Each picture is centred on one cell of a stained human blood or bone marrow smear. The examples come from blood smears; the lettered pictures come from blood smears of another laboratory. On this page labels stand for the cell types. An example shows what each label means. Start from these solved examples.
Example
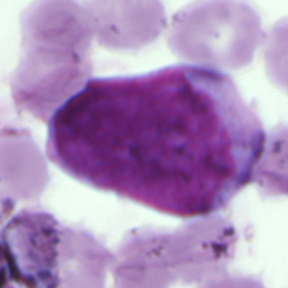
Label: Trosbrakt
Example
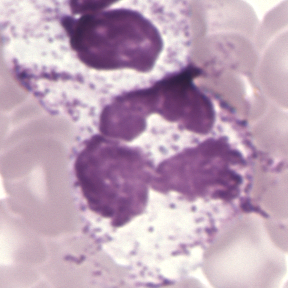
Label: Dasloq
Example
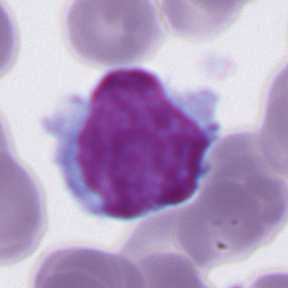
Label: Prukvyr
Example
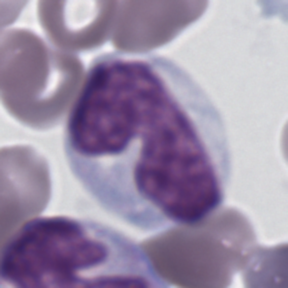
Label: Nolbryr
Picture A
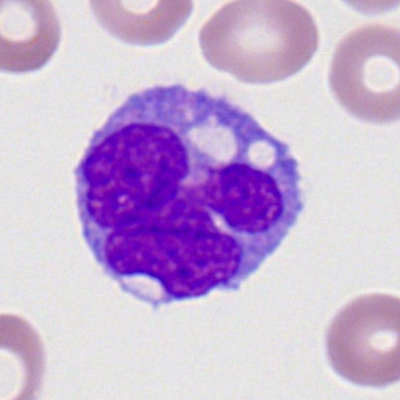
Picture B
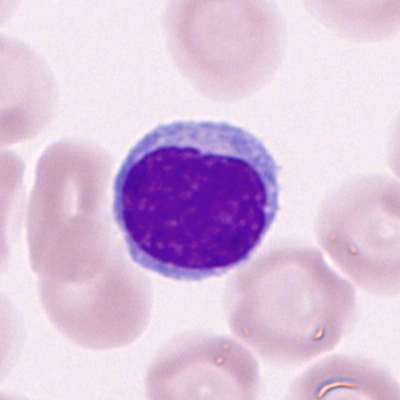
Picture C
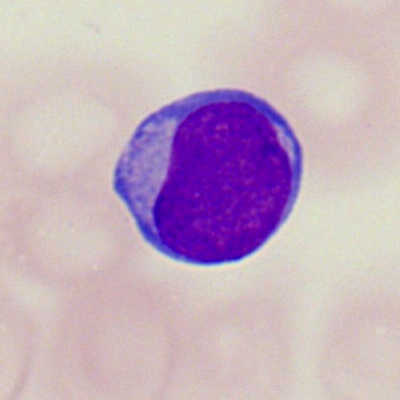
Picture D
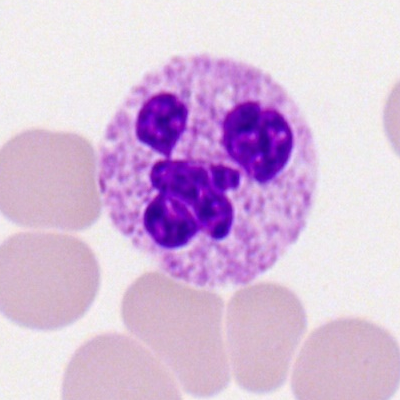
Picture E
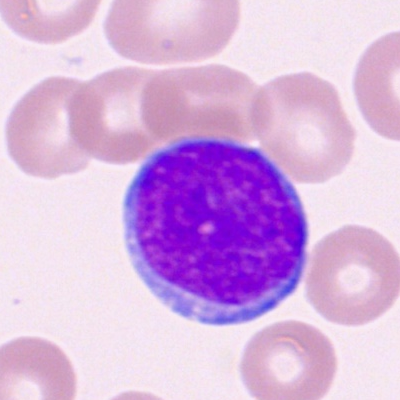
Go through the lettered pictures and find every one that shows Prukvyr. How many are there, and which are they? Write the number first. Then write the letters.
1: B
